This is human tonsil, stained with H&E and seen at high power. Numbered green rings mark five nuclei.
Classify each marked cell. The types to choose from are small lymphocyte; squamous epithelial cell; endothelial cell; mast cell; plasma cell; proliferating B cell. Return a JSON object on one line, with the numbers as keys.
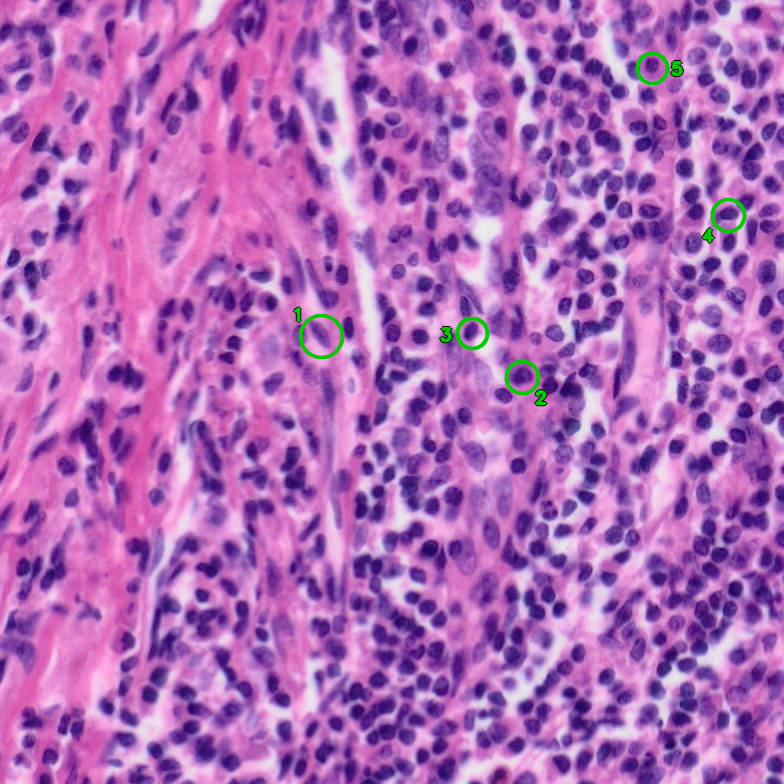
{"1": "endothelial cell", "2": "endothelial cell", "3": "endothelial cell", "4": "plasma cell", "5": "plasma cell"}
